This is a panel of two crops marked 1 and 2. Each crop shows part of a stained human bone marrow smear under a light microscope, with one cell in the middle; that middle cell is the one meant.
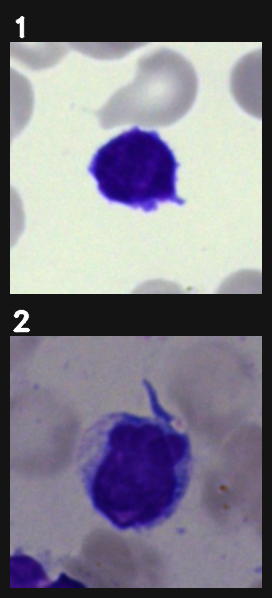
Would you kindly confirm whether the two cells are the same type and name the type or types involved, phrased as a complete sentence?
Yes, in both crops the centred cells are lymphocytes.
